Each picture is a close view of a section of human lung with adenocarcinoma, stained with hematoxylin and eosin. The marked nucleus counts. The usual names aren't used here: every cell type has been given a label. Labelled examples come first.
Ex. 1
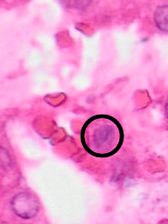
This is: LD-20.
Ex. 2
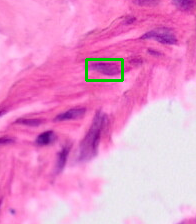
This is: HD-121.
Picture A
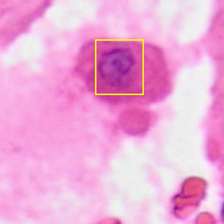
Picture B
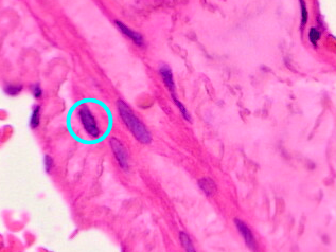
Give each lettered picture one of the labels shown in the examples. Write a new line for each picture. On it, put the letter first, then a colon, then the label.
A: LD-20.
B: HD-121.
